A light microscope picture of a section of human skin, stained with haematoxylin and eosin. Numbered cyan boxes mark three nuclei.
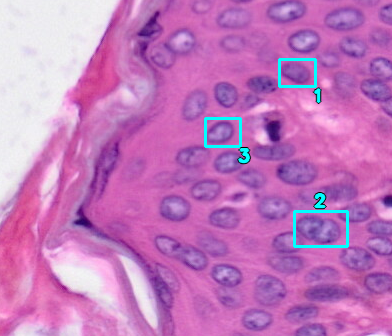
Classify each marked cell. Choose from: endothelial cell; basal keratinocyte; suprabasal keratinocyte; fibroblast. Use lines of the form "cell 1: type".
cell 1: basal keratinocyte
cell 2: suprabasal keratinocyte
cell 3: suprabasal keratinocyte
